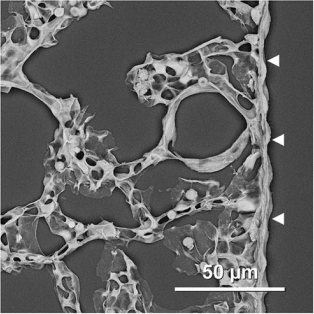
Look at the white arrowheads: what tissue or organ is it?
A: Visceral pleura.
